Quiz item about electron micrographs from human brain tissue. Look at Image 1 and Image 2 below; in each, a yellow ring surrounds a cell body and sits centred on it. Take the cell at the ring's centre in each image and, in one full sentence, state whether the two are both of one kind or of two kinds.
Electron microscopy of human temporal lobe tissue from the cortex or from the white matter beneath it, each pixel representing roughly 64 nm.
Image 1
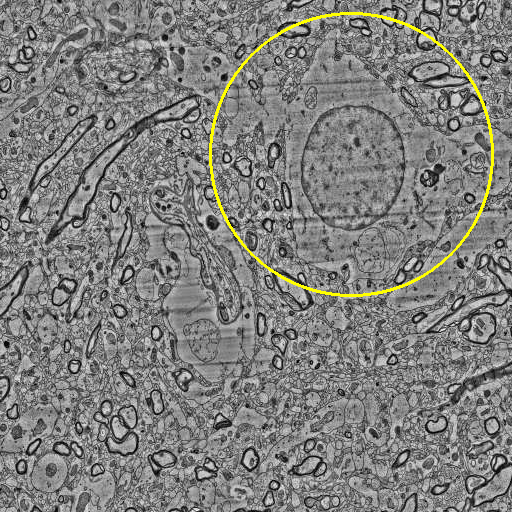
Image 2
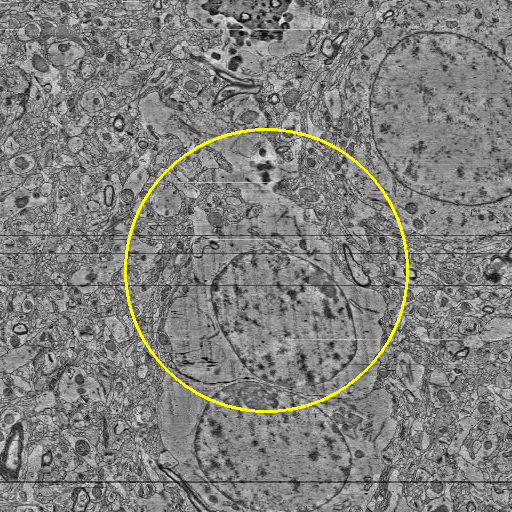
In Image 1 and Image 2, the cells at the ring centres are both of one kind.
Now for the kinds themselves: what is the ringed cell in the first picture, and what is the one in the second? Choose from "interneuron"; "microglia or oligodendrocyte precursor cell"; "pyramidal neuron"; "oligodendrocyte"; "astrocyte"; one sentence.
The cell at the ring centre is an astrocyte in both pictures.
